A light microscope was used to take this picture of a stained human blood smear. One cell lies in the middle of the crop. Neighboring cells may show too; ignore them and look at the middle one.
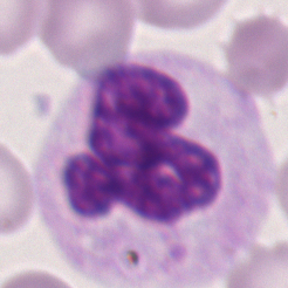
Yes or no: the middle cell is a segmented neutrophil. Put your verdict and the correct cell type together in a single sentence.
Yes, the identity of the central cell is that of a segmented neutrophil.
